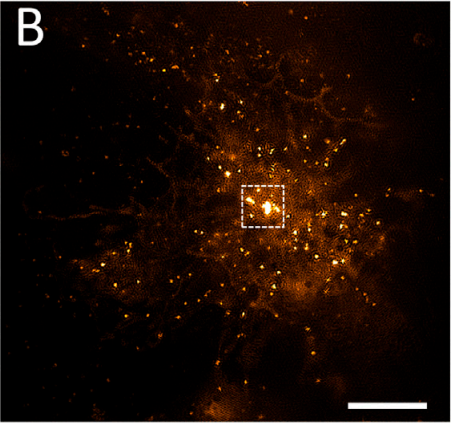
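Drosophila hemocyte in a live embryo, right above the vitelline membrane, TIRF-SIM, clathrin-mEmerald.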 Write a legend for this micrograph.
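Thin, branching processes run outward from a denser central region toward the edges of the field. Over the whole cell lie many small bright dots of varying size and brightness. Near the centre, inside a dashed box, one larger, brighter and irregular patch stands out from the small dots around it.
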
